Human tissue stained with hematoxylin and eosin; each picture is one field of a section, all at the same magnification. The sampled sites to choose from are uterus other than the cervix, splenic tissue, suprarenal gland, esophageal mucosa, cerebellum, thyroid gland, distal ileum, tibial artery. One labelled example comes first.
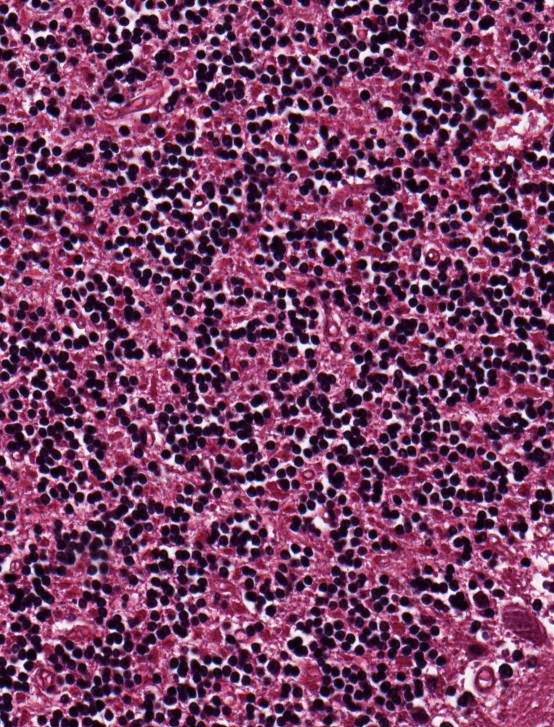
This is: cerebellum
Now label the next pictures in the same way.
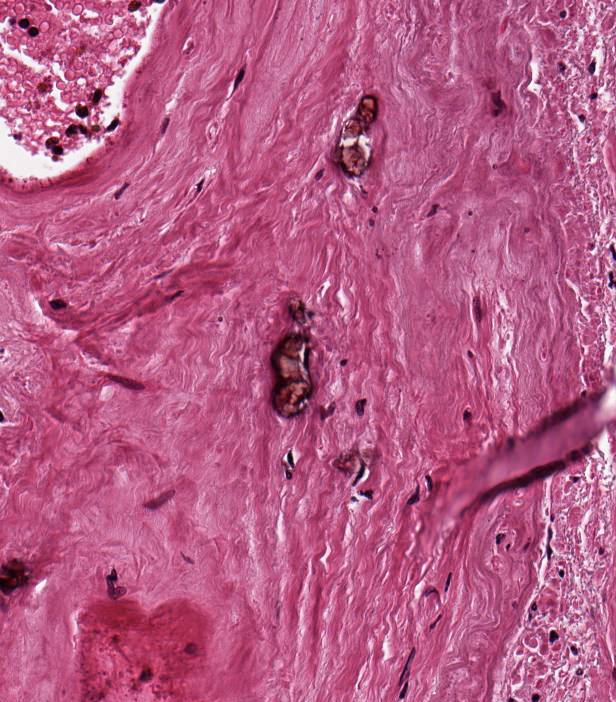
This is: splenic tissue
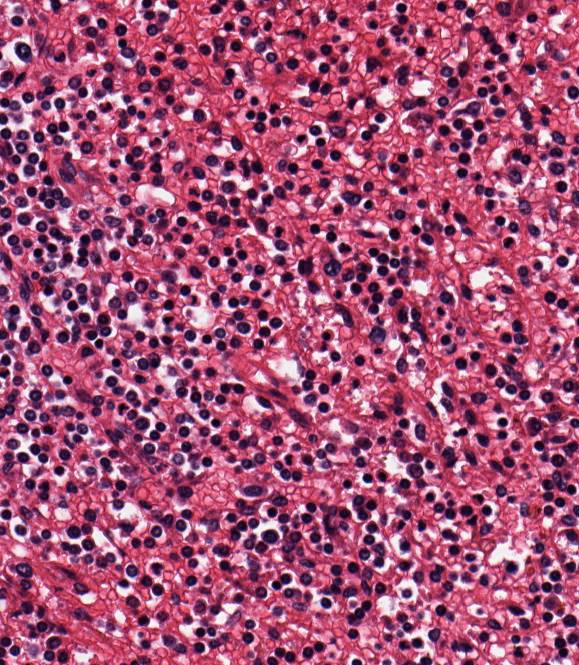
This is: splenic tissue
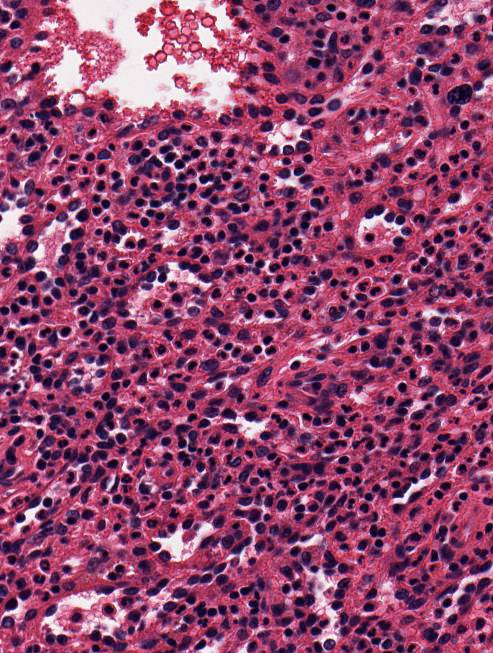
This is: splenic tissue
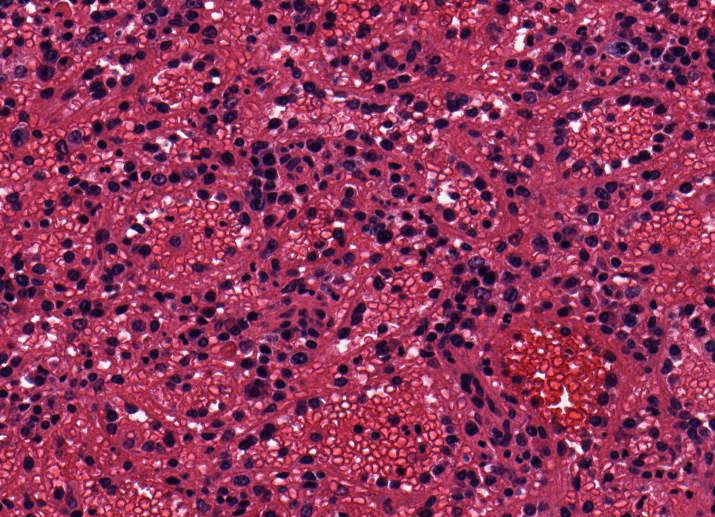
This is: splenic tissue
